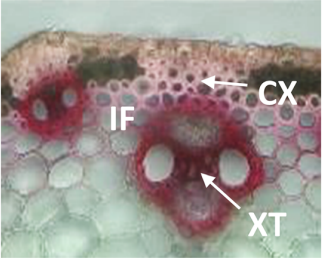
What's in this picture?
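This is the outer part of a stem cross section, with a narrow cortex of small, thick-walled cells beneath the surface whose walls stain pink. Embedded at its inner edge are vascular bundles, the larger one holding wide, round xylem conduits and ringed by cells with intensely red-stained walls. Inward lie large, rounded, thin-walled parenchyma cells whose walls stay almost unstained.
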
